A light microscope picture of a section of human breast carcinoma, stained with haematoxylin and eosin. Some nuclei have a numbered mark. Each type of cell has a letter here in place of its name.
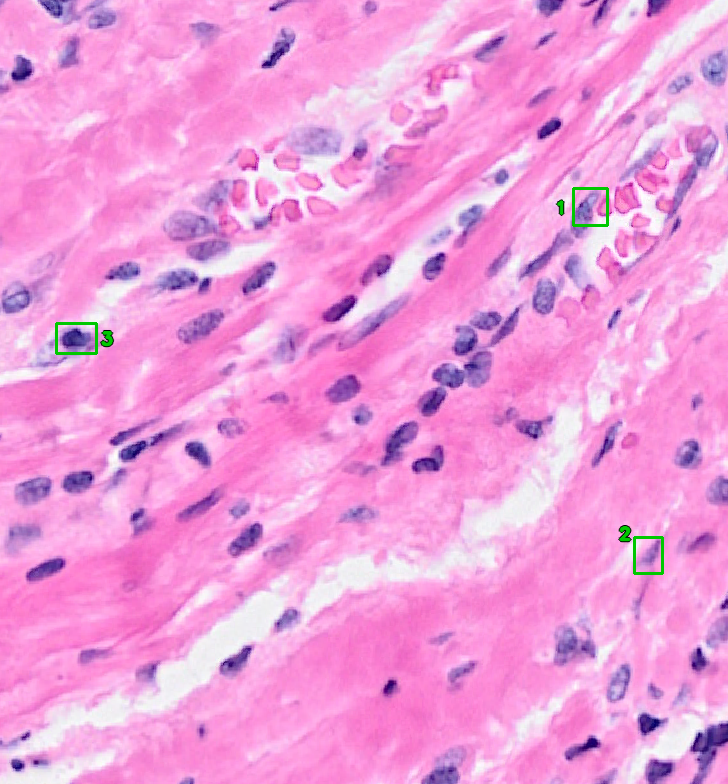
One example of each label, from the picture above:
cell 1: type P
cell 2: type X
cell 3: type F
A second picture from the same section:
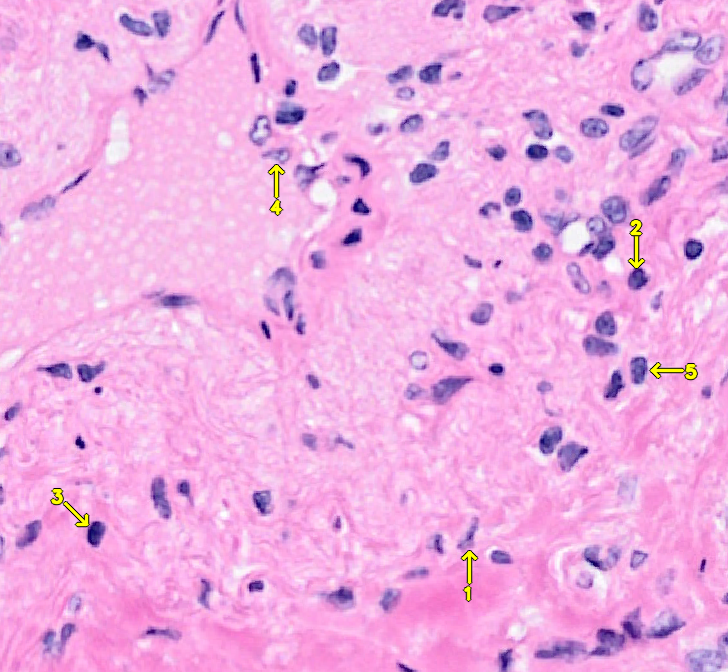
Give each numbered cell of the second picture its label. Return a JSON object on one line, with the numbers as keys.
{"1": "type X", "2": "type F", "3": "type F", "4": "type P", "5": "type F"}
